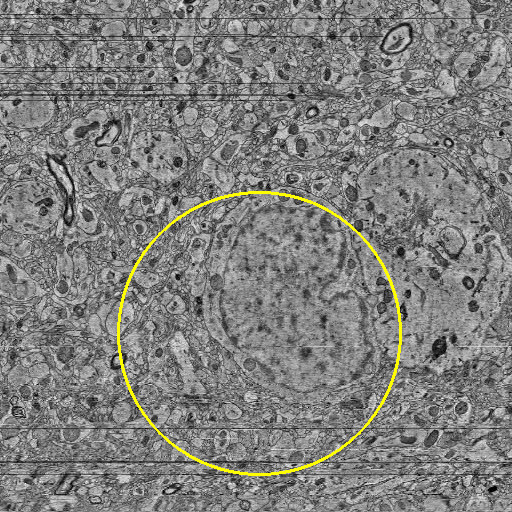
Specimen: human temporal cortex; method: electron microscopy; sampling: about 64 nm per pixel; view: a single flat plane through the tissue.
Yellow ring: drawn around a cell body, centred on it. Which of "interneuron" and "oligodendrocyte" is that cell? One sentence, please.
That cell body is from an interneuron.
